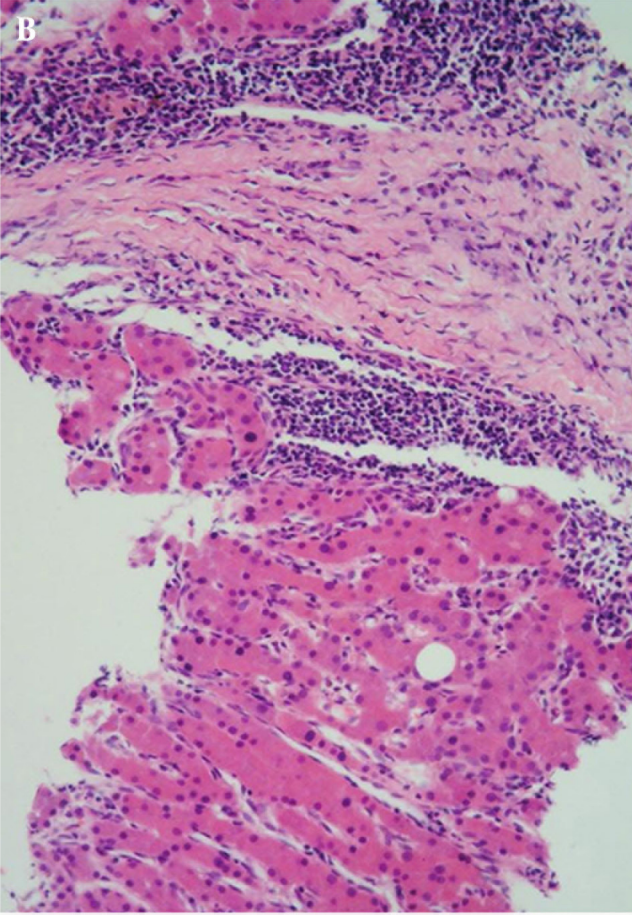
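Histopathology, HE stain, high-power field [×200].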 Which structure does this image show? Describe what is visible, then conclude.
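A band of pale pink wavy fibrous tissue with spindle-shaped nuclei crosses the upper part of the field. The band separates groups of polygonal pink cells. The answer: fibrous septum.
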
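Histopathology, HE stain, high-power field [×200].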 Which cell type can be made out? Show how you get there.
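Large polygonal cells with abundant pink cytoplasm and round central nuclei. The cells are arranged in cords and plates in the lower half. That points to this answer: hepatocytes.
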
